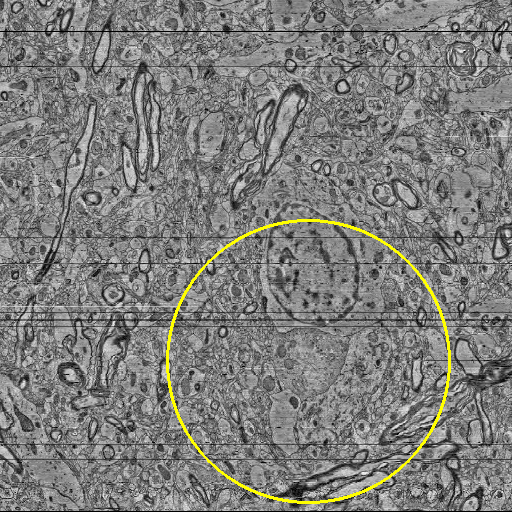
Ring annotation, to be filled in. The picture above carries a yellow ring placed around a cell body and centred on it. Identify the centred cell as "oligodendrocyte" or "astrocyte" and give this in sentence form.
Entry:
The cell in the middle of the ring is an oligodendrocyte.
